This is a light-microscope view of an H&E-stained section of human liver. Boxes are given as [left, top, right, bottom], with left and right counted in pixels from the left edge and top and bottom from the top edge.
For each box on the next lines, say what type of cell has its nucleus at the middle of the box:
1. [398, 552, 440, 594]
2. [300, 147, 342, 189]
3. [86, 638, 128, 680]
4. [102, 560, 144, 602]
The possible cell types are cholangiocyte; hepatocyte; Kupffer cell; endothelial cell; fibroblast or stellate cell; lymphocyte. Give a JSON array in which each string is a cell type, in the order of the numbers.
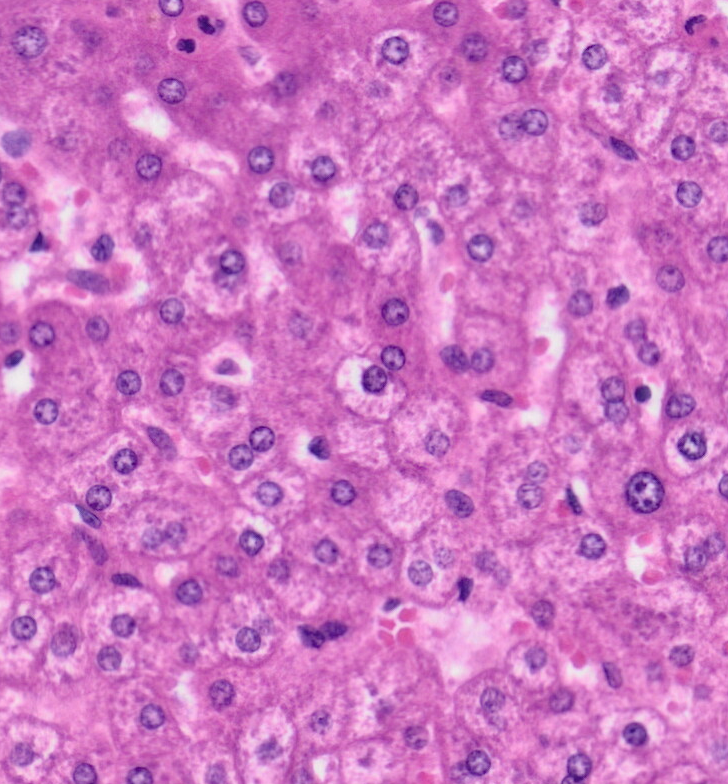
["hepatocyte", "hepatocyte", "hepatocyte", "fibroblast or stellate cell"]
